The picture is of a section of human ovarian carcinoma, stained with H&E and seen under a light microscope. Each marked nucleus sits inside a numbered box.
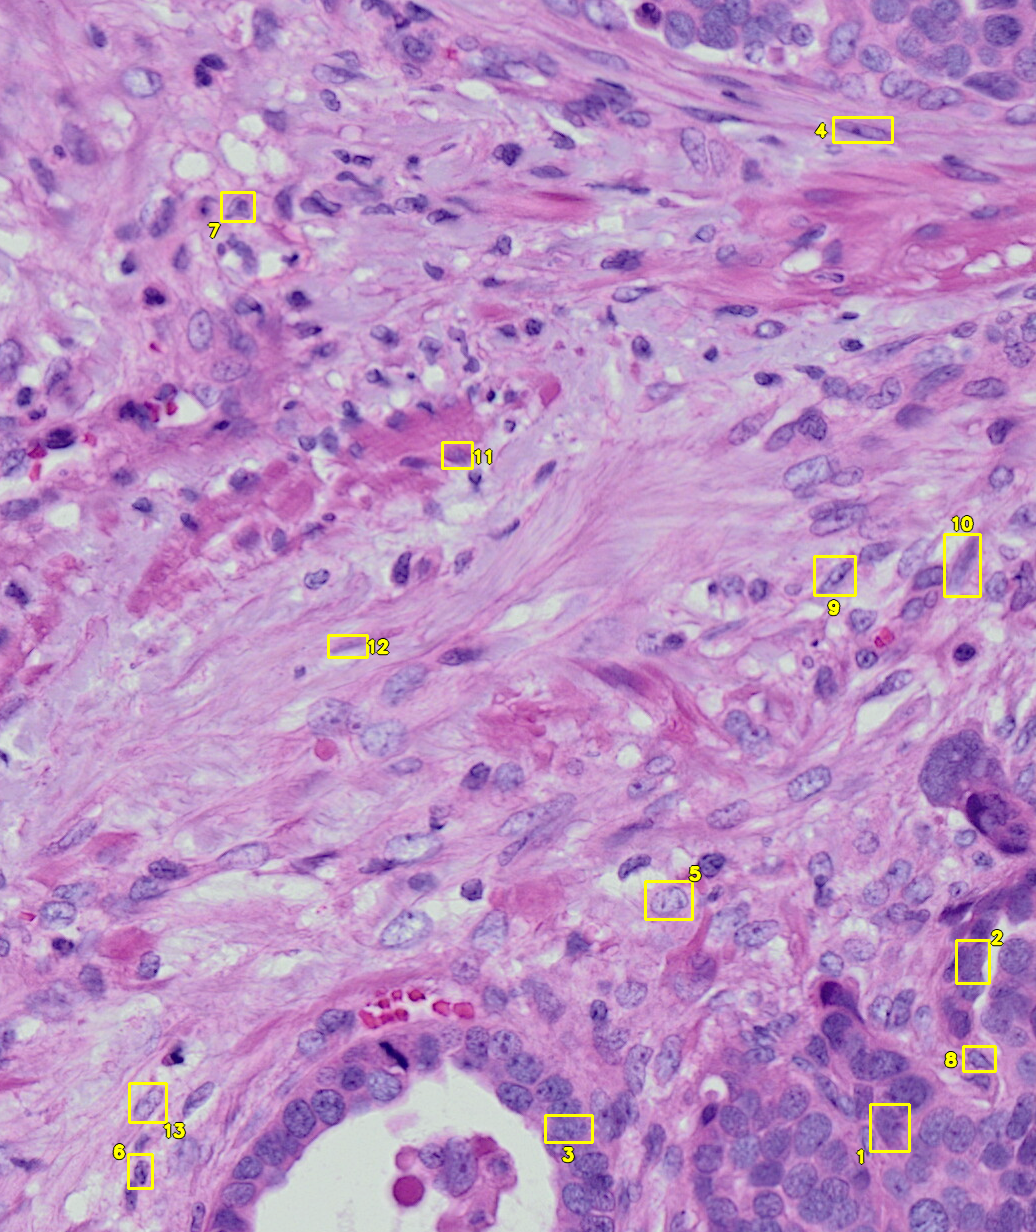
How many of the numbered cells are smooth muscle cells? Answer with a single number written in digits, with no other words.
1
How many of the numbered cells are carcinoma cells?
3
